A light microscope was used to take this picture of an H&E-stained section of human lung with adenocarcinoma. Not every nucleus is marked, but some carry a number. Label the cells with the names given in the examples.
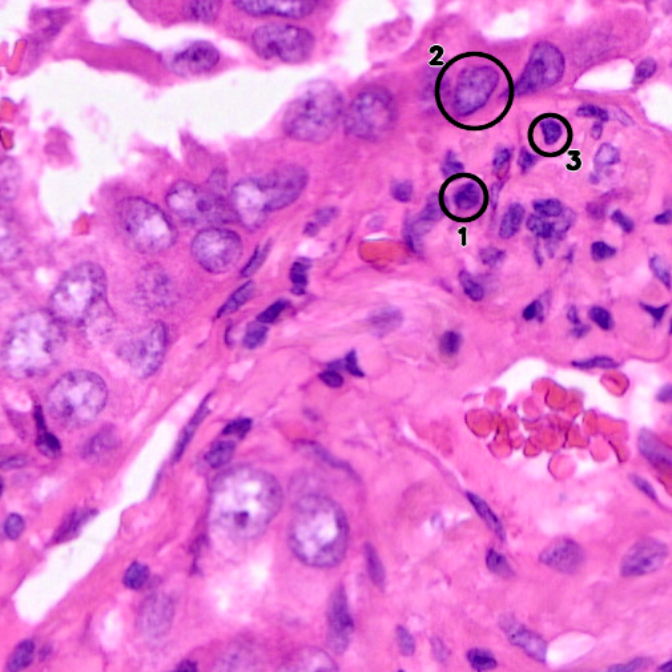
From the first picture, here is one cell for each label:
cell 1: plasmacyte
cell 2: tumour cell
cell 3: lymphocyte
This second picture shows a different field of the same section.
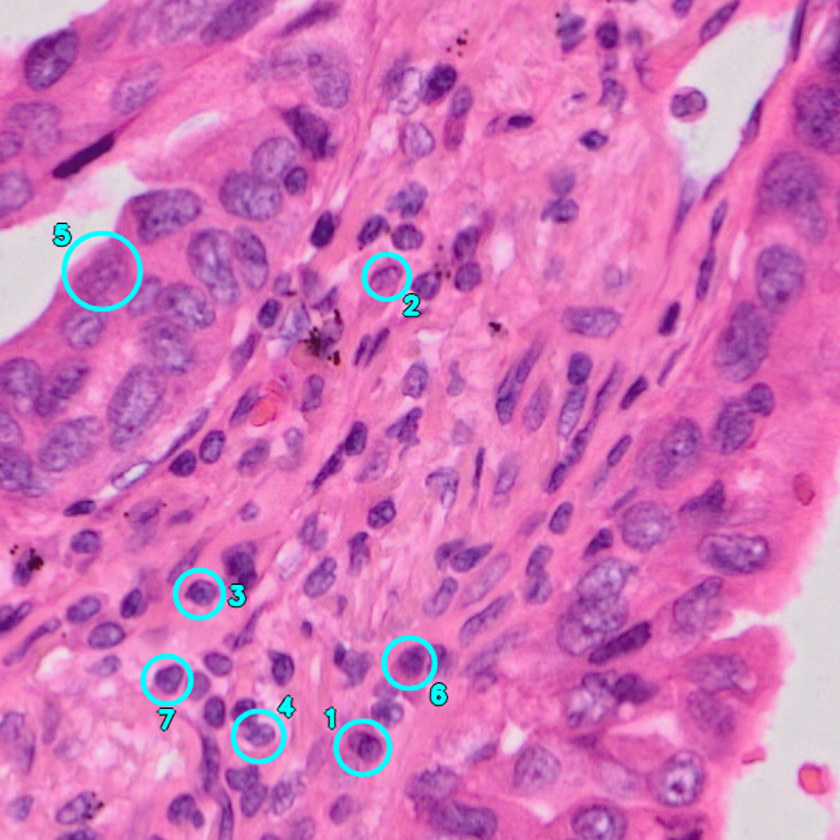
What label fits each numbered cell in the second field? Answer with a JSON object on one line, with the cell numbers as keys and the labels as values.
{"1": "plasmacyte", "2": "plasmacyte", "3": "lymphocyte", "4": "lymphocyte", "5": "tumour cell", "6": "plasmacyte", "7": "lymphocyte"}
